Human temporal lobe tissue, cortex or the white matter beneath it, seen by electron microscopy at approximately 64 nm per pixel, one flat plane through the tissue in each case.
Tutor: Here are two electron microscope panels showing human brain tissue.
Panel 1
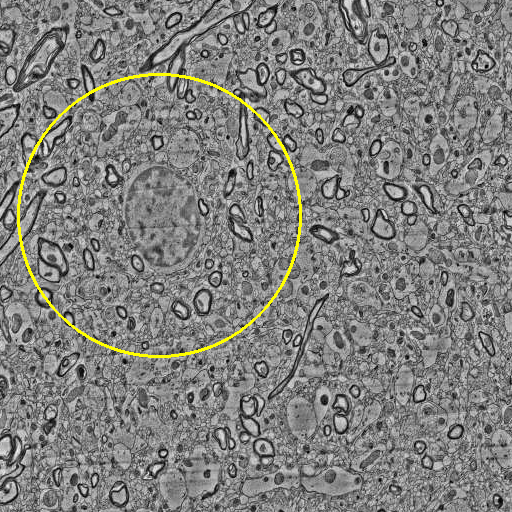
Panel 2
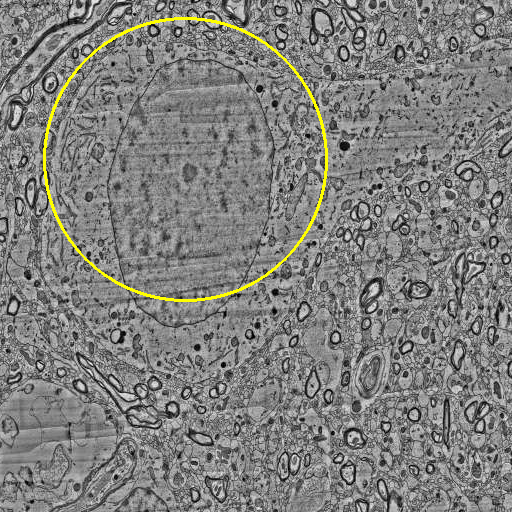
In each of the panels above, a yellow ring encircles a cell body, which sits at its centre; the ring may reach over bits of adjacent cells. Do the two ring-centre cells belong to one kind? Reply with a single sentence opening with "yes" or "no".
No, the two cells sitting at the ring centres in the panels belong to two kinds.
